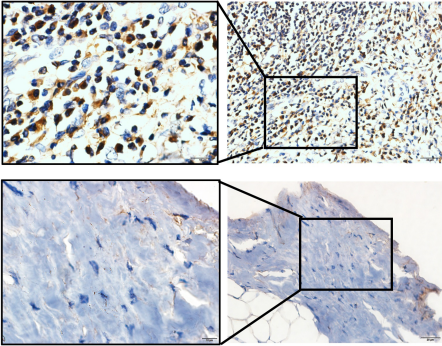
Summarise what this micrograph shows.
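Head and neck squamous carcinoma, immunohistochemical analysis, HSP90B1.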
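In the upper row, densely packed tumor cells have irregular, dark, crowded nuclei, and many cells show strong brown staining in the cytoplasm. In the lower row, sparse spindle-shaped cells lie in pale blue fibrous stroma with only faint brown staining, and clear fat cells sit at the lower left of the lower-magnification image.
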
